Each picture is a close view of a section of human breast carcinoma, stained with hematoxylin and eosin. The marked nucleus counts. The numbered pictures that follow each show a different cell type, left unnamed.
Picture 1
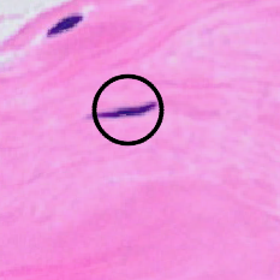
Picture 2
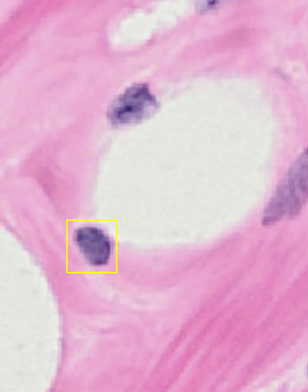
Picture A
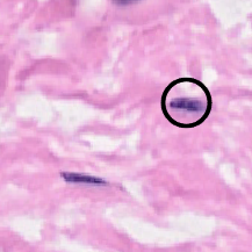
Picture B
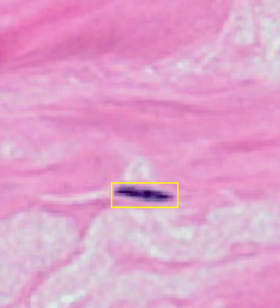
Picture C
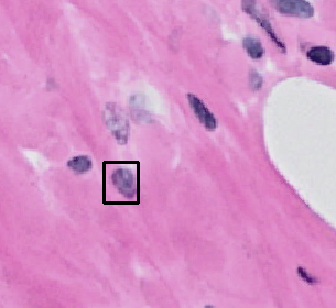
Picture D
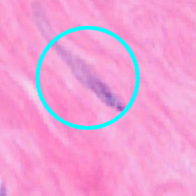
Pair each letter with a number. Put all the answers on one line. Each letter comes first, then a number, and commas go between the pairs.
A 1, B 1, C 2, D 1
